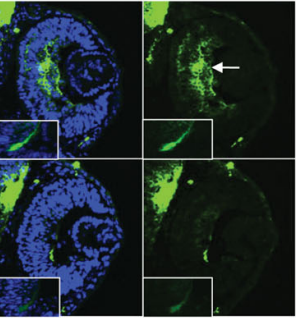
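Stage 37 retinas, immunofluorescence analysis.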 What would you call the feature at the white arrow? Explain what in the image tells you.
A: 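Interneuron and ganglion cell fibers. The arrow points to a speckled band within the inner part of the retina.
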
